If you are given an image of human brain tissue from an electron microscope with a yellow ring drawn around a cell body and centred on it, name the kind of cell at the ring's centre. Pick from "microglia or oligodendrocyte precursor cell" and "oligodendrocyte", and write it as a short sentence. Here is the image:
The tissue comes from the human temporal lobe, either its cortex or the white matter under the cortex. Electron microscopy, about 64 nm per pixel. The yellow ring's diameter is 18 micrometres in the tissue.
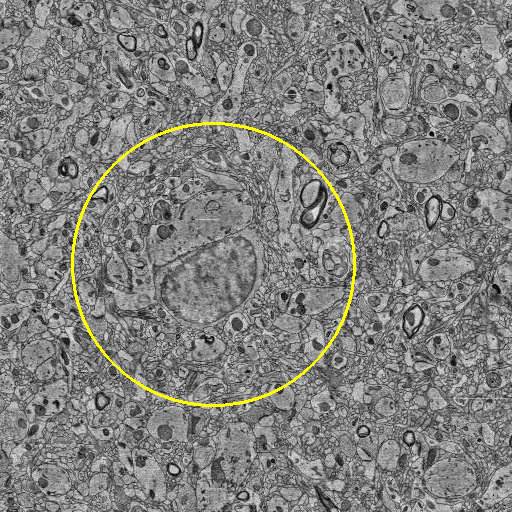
The cell at the ring's centre is an oligodendrocyte.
